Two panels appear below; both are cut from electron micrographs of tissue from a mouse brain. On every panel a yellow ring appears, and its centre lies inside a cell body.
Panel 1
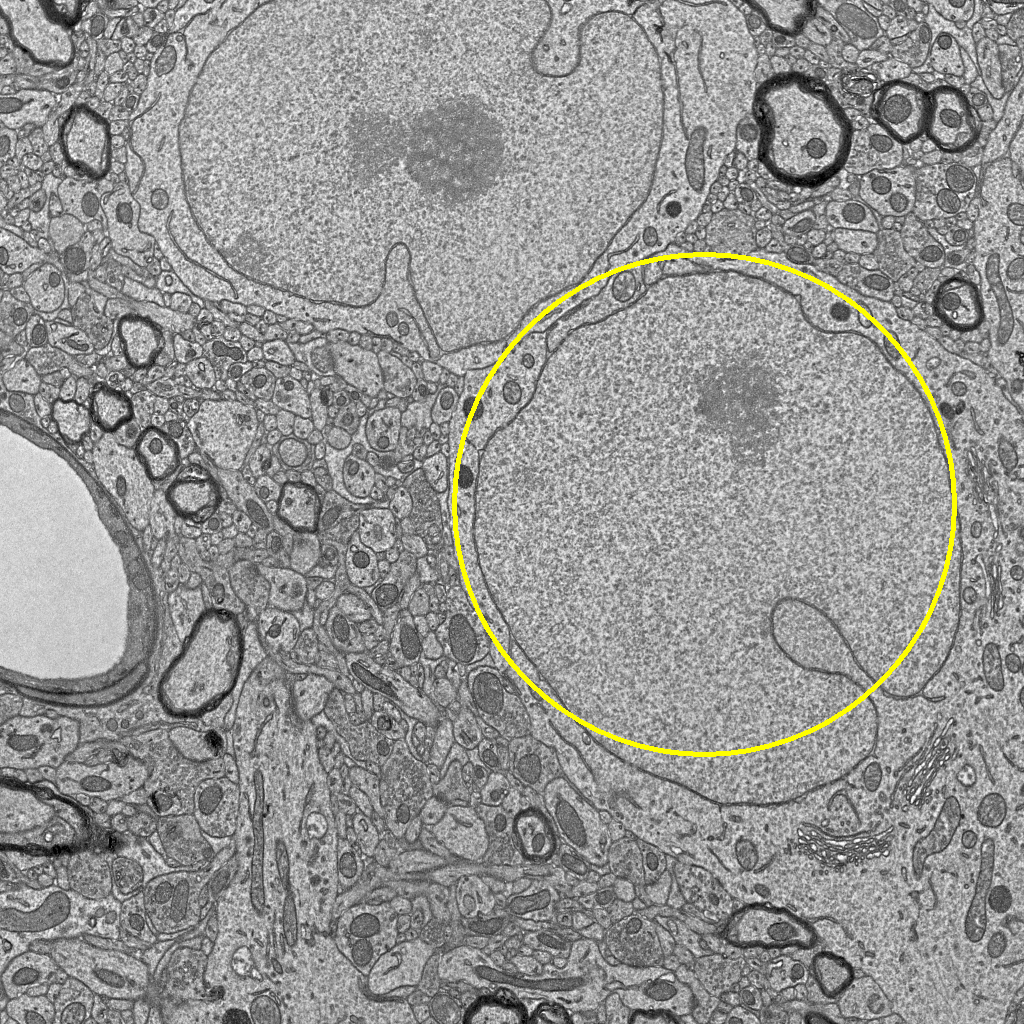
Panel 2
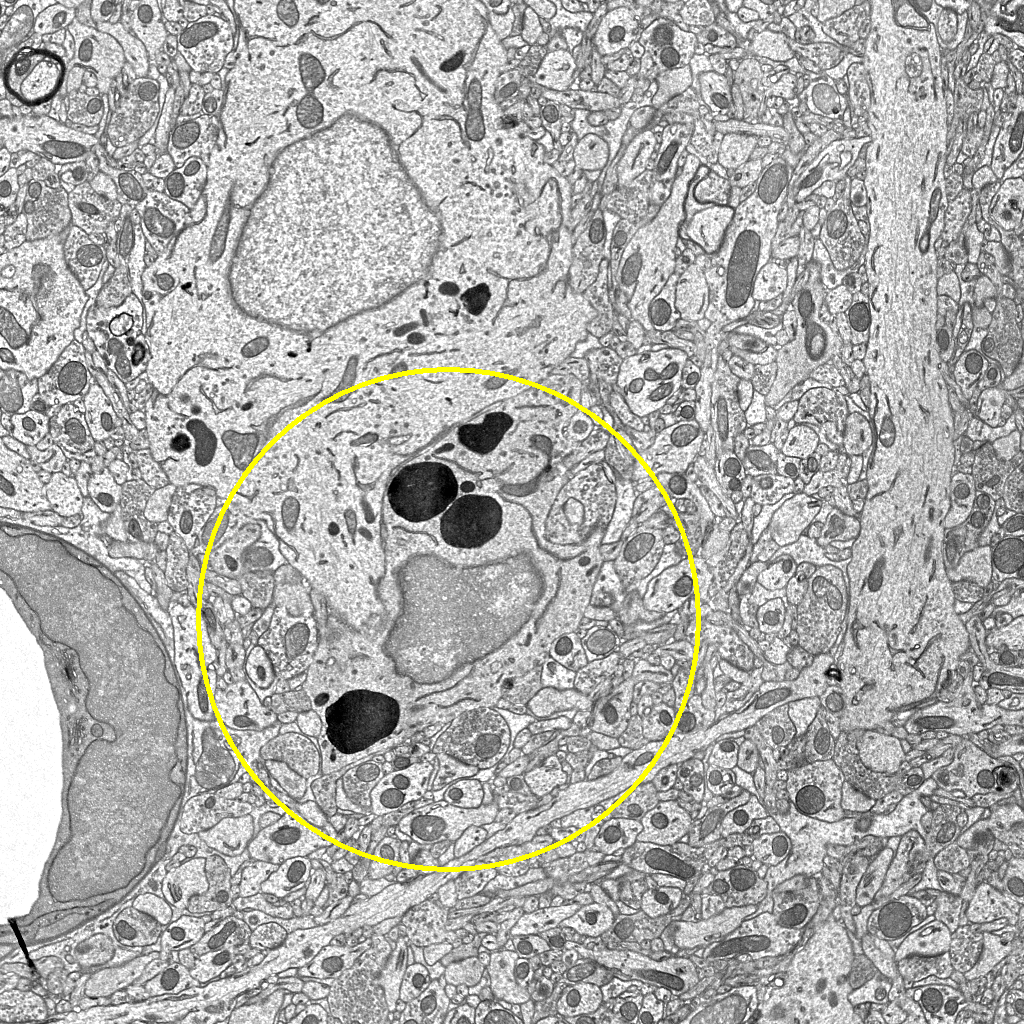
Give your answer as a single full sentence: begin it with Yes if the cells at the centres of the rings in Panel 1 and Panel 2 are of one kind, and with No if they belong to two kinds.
No, the cells at the middle of the rings in Panels 1 and 2 are of two kinds.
